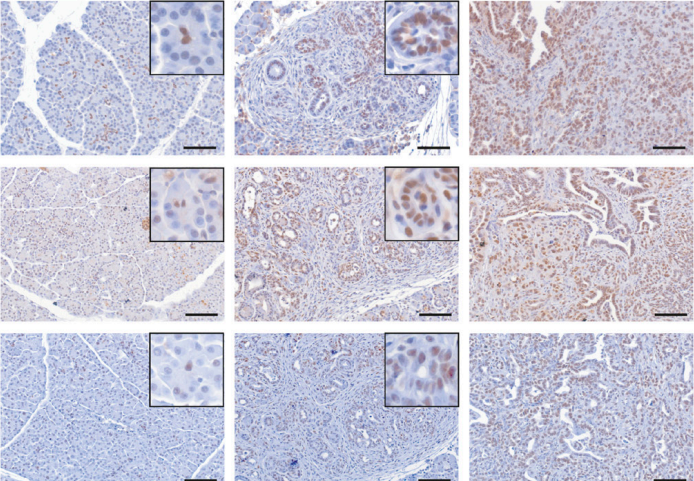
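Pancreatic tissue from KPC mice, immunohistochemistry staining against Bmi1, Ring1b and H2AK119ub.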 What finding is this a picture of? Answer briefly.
Preinvasive ductal lesions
